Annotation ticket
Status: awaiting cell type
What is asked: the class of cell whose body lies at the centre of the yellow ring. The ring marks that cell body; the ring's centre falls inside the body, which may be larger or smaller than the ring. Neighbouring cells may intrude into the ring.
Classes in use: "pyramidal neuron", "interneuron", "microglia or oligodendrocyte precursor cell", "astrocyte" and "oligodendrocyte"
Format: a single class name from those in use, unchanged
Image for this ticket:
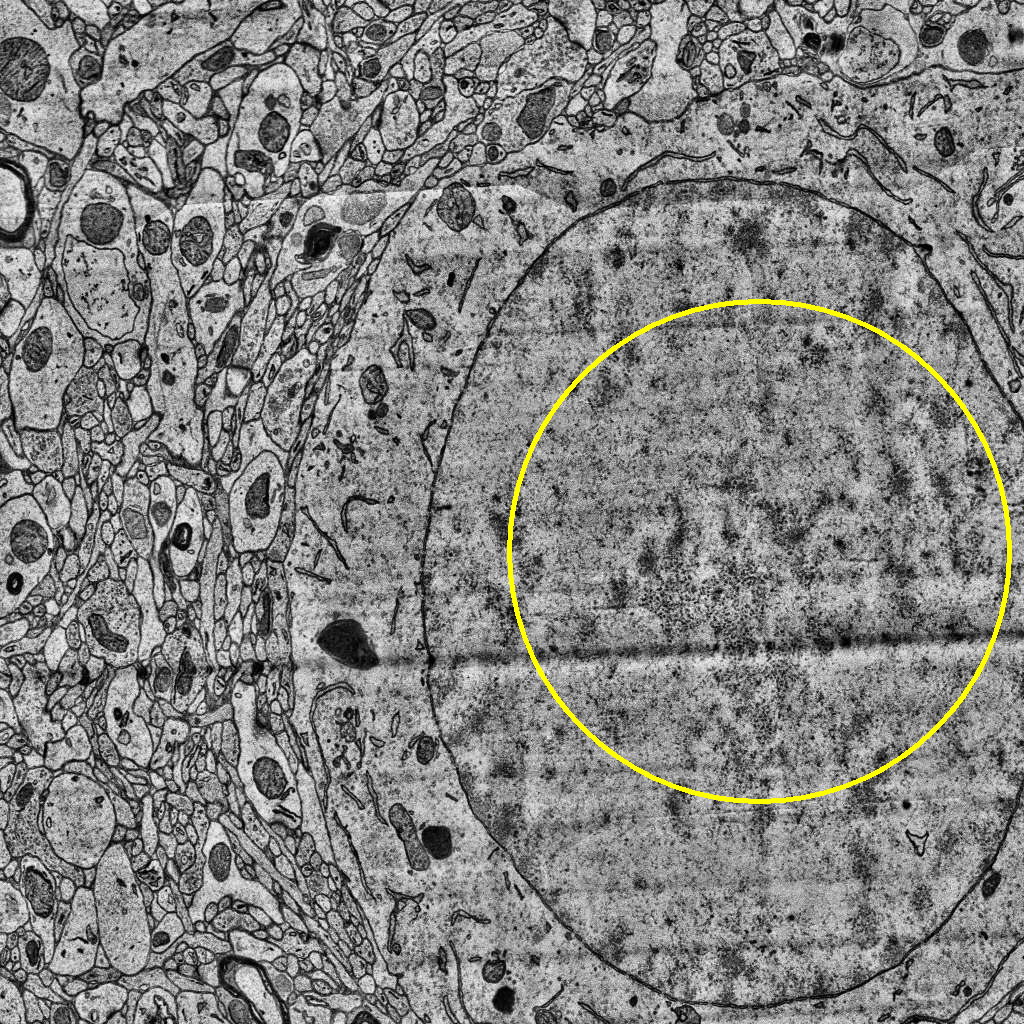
pyramidal neuron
